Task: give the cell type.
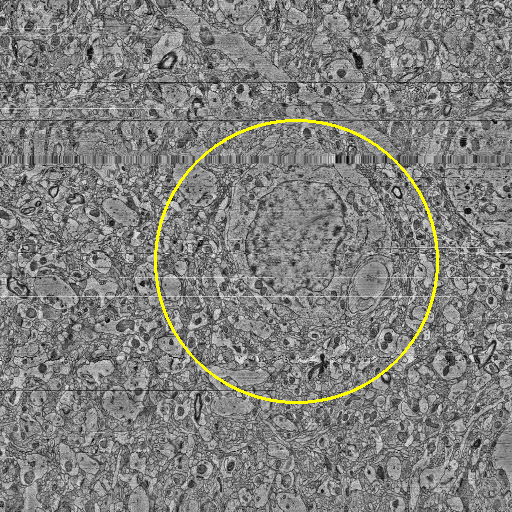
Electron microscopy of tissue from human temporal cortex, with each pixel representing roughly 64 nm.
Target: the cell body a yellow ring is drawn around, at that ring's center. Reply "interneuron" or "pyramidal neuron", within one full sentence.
In this picture, the cell whose body lies at the ring's center is an interneuron.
